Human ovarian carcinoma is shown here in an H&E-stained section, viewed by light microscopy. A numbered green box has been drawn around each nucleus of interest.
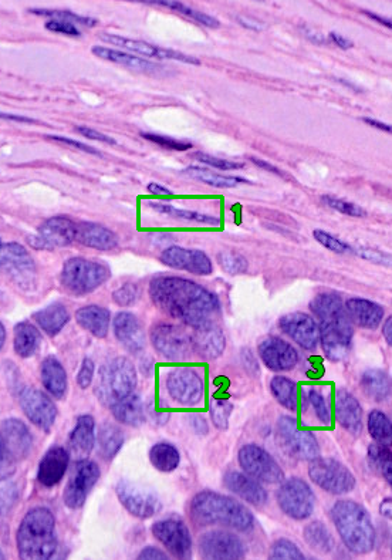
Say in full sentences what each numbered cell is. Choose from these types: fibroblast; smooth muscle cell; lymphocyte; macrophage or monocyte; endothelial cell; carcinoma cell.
Cell 1 is a fibroblast. Cells 2 and 3 are carcinoma cells.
